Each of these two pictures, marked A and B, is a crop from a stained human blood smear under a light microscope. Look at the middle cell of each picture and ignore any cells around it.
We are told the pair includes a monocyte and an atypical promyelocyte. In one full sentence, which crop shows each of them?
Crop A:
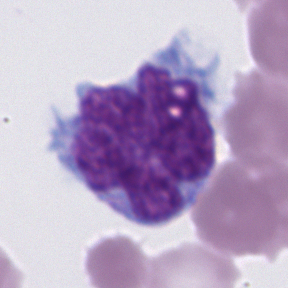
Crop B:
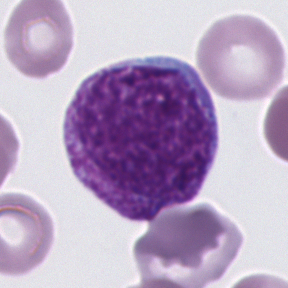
The cell in crop A is a monocyte, and the one in crop B is an atypical promyelocyte.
